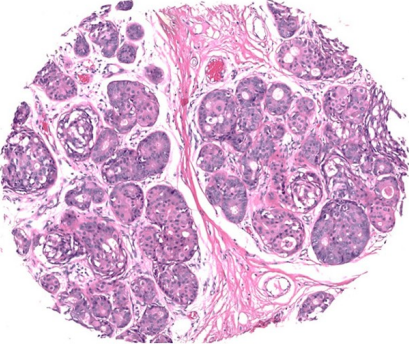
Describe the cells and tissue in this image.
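A round core of breast tissue shows many rounded nests and duct-like clusters of epithelial cells. The cells have purple nuclei and lie in pale pink, loosely fibrous stroma. A band of denser, more strongly pink fibrous stroma runs from top to bottom through the middle of the core, and some nests have small central lumens.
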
